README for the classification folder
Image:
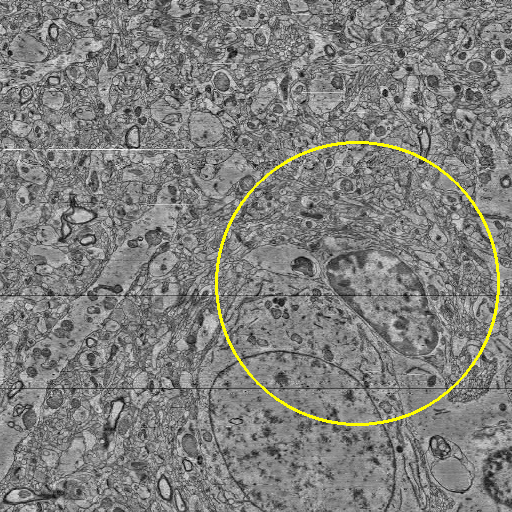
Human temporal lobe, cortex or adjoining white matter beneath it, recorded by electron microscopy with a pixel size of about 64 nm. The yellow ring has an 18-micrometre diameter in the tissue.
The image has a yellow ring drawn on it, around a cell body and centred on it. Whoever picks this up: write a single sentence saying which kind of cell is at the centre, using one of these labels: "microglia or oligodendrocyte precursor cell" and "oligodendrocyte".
This cell body is that of a microglial cell or oligodendrocyte precursor cell.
